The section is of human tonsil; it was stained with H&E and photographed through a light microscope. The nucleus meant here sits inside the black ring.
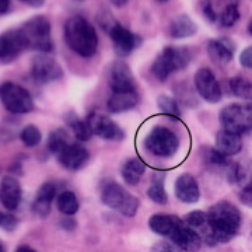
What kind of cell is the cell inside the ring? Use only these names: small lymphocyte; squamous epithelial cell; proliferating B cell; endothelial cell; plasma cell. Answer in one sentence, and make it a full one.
Microscopically, the cell inside the ring is categorized as a proliferating B cell.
